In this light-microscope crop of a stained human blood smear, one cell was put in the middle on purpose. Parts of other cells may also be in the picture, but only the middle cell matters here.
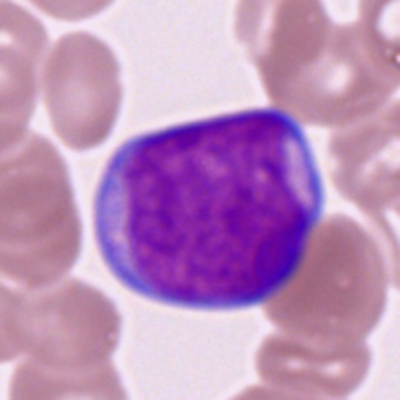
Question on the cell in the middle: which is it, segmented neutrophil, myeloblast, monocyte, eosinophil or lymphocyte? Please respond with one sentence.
Where the crop is centred, there is a myeloblast.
